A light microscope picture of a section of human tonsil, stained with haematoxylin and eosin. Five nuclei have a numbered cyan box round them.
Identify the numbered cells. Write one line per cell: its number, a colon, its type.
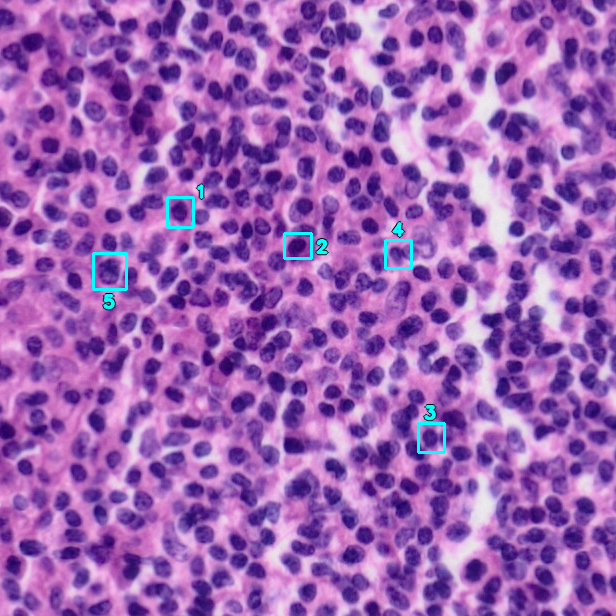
1: plasma cell
2: plasma cell
3: small lymphocyte
4: small lymphocyte
5: proliferating B cell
